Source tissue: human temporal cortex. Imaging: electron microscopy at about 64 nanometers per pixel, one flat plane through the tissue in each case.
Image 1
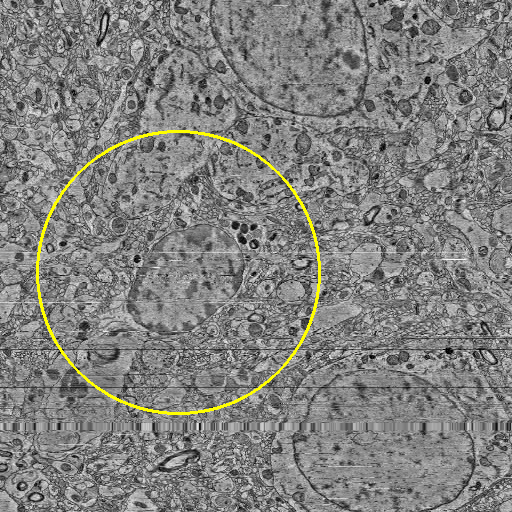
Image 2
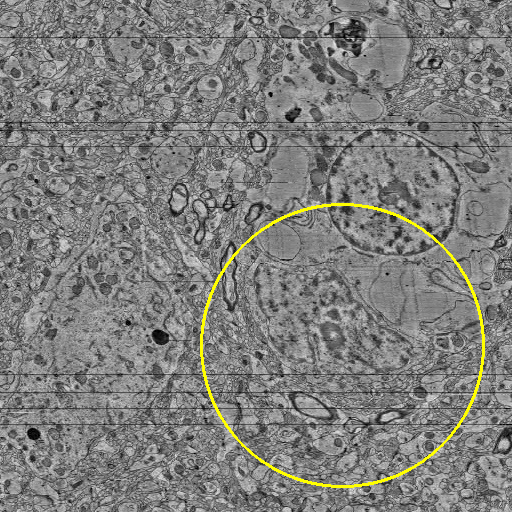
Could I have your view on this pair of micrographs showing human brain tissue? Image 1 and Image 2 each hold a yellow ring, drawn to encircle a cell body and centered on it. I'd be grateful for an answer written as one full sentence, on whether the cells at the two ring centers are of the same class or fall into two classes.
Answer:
The cells at the centers of the two rings fall into two classes.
